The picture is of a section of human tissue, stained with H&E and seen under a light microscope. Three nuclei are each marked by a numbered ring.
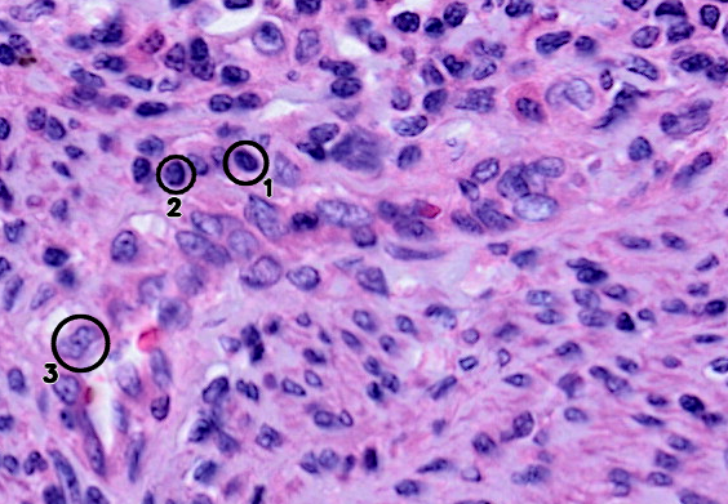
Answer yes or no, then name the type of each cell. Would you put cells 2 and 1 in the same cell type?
Yes, the cells marked 2 and 1 are both lymphocytes.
